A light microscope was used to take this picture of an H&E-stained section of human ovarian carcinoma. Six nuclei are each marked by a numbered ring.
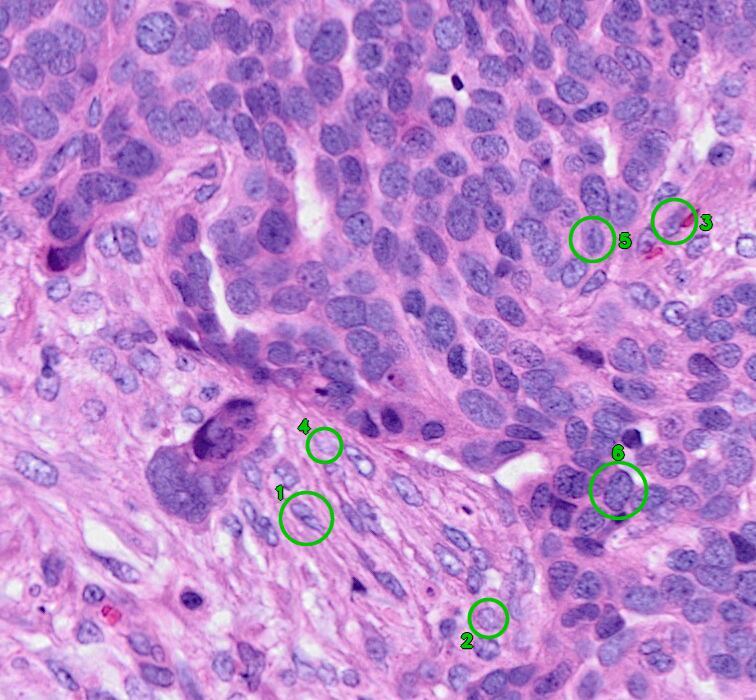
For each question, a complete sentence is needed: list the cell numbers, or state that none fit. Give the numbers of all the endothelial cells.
Of the cells bearing numbers, the only one that is an endothelial cell is cell 3.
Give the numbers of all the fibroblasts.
In this section, the cells numbered 1, 2 and 4 are fibroblasts.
